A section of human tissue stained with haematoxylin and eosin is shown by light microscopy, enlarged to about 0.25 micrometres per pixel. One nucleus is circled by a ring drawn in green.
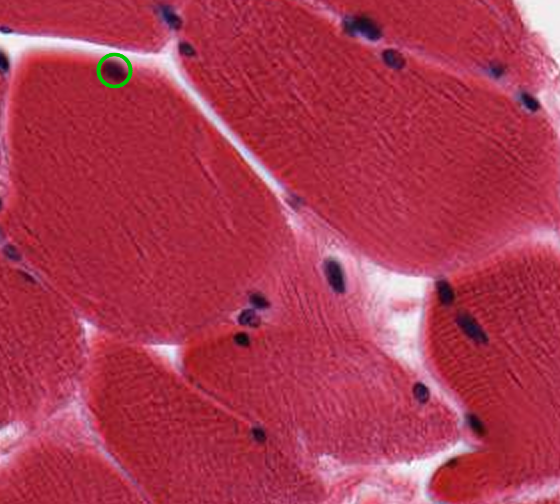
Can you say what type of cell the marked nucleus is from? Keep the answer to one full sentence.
The nucleus singled out by the mark belongs to a skeletal muscle fibre.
